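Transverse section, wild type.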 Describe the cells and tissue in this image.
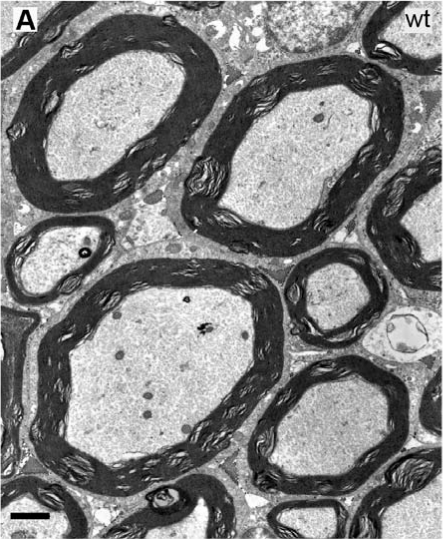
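Large, intermediate and small axons lie side by side, and sheath thickness roughly matches axon size. A thin rim of grey Schwann cell cytoplasm surrounds the sheaths, and narrow spaces between fibres hold endoneurial matrix. Part of a nucleus is visible at the upper edge.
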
